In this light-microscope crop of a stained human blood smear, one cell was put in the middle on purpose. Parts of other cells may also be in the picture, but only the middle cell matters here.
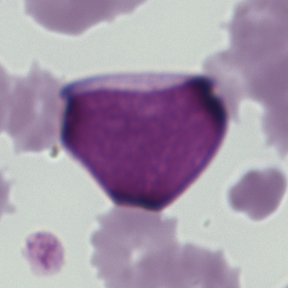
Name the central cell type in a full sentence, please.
The crop centres on a single cell, and that cell is a myeloblast.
